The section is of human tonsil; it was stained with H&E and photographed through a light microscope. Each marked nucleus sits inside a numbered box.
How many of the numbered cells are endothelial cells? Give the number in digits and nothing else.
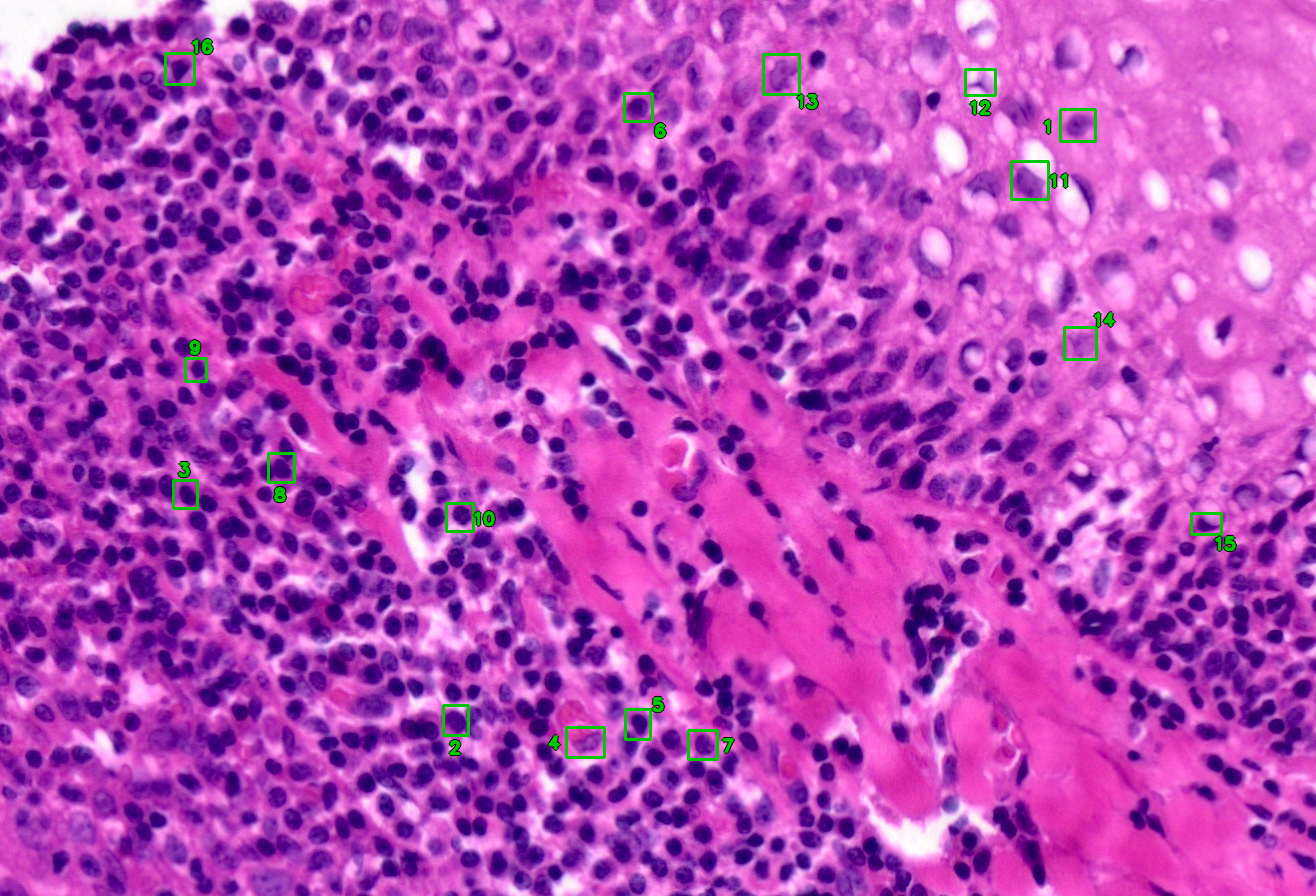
1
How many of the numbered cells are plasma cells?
8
